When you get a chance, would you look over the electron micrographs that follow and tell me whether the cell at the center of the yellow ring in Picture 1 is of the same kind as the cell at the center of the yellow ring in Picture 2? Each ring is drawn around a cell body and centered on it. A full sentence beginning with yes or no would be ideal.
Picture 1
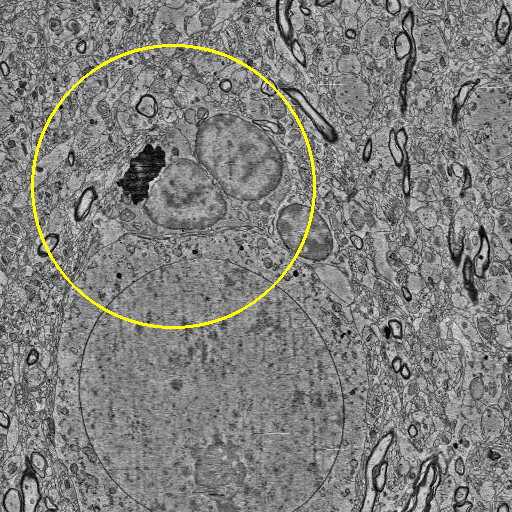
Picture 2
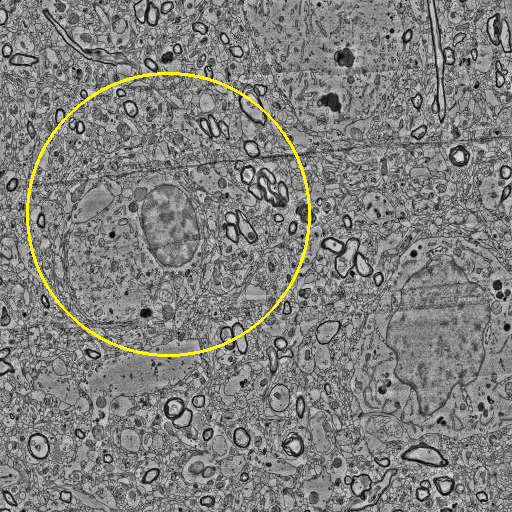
Yes, the two cells are of the same kind.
